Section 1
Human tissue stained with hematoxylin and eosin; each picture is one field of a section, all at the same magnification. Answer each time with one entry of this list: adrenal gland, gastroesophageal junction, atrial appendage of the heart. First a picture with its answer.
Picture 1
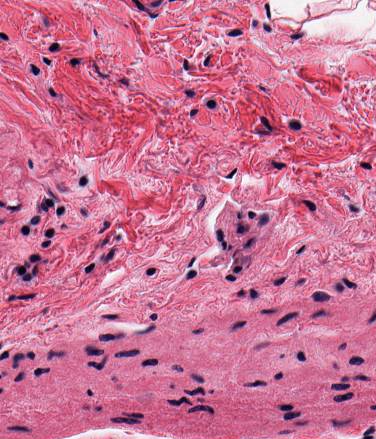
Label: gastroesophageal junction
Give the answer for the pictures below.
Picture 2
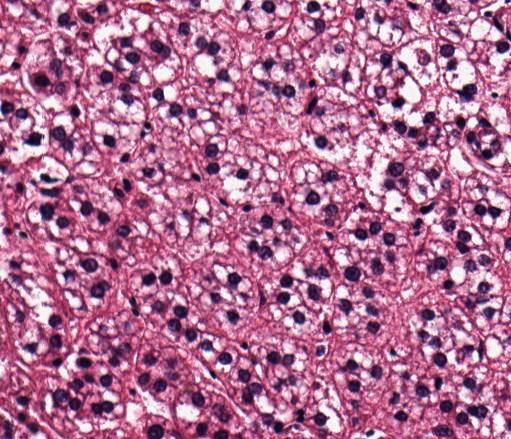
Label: adrenal gland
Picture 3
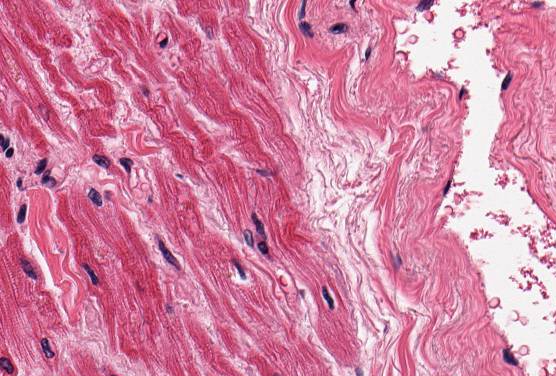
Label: atrial appendage of the heart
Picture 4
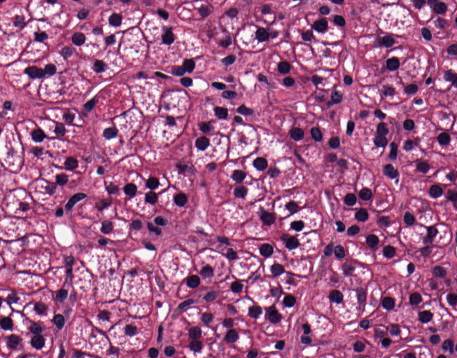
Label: adrenal gland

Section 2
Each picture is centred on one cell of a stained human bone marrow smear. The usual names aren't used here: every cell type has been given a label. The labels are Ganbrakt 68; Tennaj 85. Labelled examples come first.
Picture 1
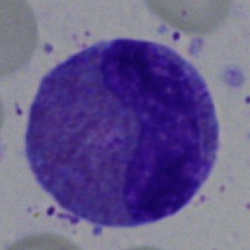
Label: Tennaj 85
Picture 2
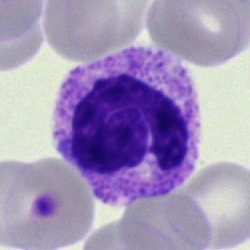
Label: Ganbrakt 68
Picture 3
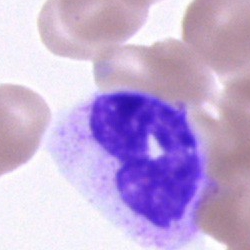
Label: Ganbrakt 68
